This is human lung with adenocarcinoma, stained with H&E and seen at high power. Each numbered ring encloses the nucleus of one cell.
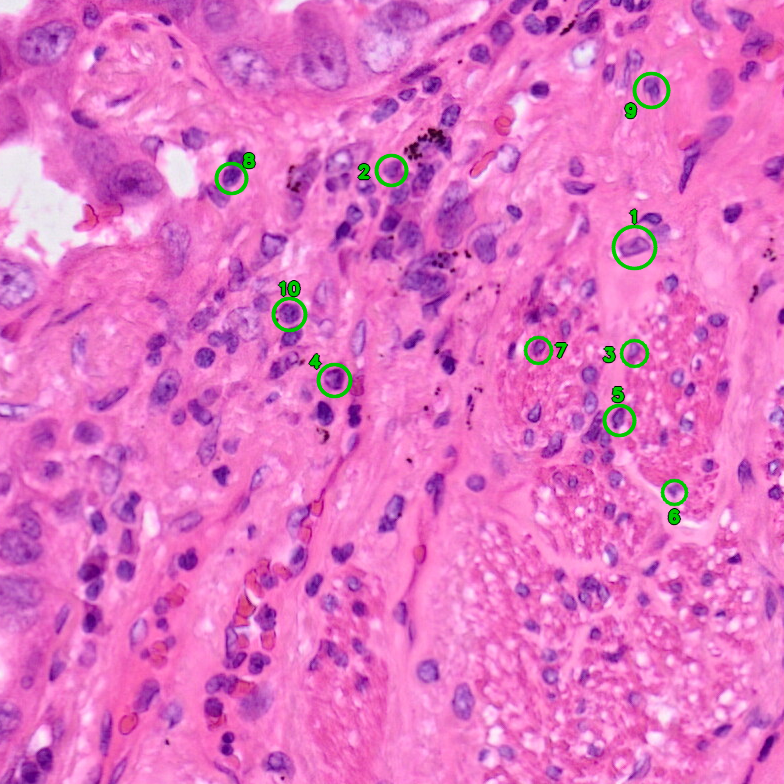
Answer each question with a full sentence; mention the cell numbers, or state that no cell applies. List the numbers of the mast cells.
There is just one numbered cell that is a mast cell, and it is cell 5.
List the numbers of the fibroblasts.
Cell 1 is the only numbered cell that is a fibroblast.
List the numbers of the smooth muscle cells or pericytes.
The cells with labels 3, 6 and 7 are smooth muscle cells or pericytes.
